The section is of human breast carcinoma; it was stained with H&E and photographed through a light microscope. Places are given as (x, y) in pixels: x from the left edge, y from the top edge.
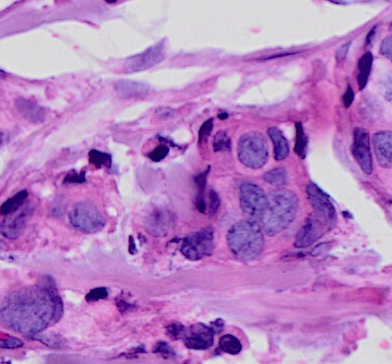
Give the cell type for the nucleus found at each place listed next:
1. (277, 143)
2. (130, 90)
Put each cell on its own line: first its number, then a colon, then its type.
1: carcinoma cell
2: fibroblast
